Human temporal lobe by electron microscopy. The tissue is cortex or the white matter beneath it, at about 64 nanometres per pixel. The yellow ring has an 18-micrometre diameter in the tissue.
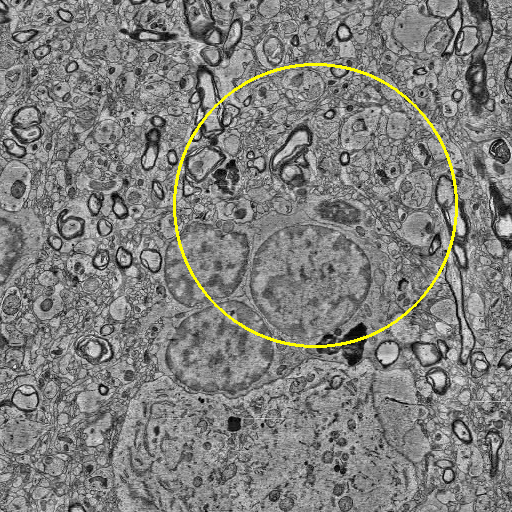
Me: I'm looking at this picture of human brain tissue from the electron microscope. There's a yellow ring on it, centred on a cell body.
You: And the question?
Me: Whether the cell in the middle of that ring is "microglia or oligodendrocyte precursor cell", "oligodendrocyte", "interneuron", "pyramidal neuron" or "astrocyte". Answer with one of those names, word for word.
oligodendrocyte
